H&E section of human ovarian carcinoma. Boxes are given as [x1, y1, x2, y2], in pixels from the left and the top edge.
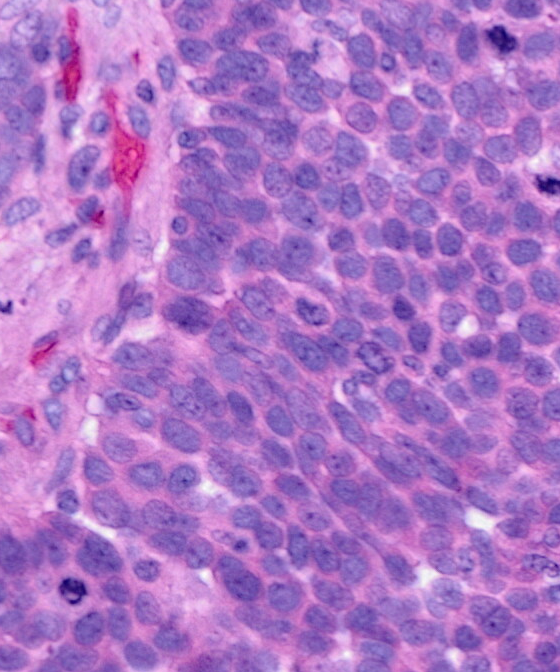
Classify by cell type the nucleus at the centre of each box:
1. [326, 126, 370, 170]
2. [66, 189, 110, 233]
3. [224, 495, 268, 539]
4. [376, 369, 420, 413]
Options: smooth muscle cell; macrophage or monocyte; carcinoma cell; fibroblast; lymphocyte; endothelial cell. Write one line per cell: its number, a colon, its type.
1: carcinoma cell
2: endothelial cell
3: carcinoma cell
4: carcinoma cell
